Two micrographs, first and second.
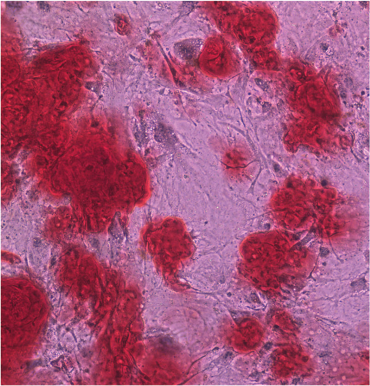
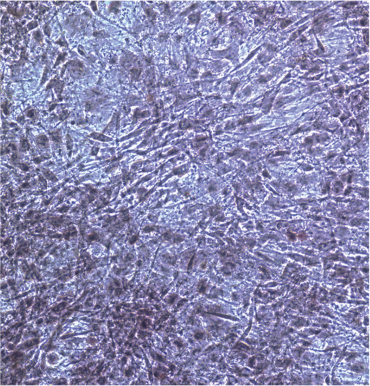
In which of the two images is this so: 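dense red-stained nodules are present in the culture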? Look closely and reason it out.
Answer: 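The first image. First image: many bright red clustered nodules across the field. Second image: a dense layer of spindle cells with no red nodules.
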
